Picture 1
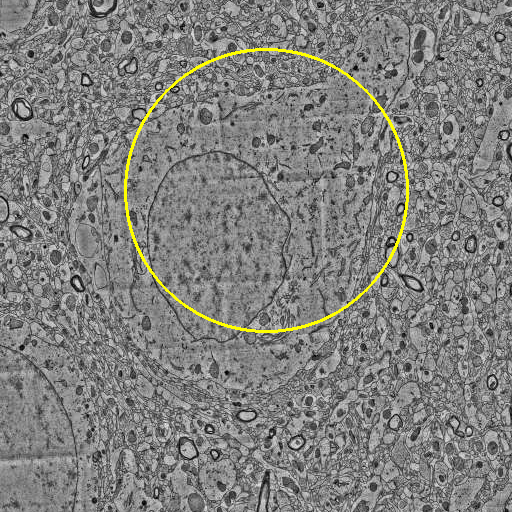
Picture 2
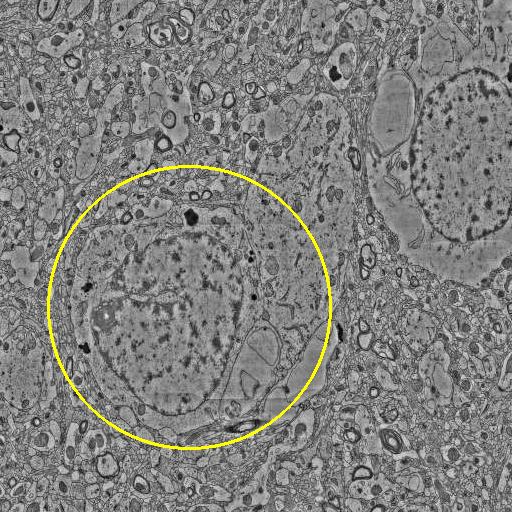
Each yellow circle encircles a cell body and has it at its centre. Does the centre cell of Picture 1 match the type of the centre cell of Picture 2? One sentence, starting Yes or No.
No, the cell centred in Picture 1 and the one in Picture 2 have separate types.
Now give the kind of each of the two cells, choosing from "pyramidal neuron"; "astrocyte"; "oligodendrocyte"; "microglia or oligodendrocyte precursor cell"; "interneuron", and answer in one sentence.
The cell in the first picture is a pyramidal neuron, and the cell in the second is an interneuron.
